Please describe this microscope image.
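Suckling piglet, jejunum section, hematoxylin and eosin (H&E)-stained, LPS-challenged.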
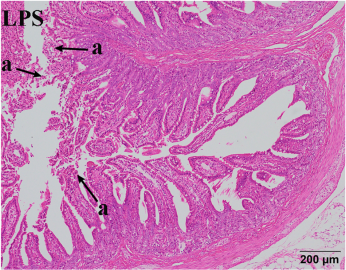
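This is a cross-section of small intestine wall in pink and purple, with villi projecting into a pale central lumen. Many villi look shorter and more irregular than in a healthy wall, and several tips are ragged. Loose, fragmented pink tissue lies free in the lumen, especially at the upper left where the arrows point, consistent with villi shedding their tissue. A denser purple mucosal band lies at the villus bases, and a thick pink muscular layer wraps the outside on the right.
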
